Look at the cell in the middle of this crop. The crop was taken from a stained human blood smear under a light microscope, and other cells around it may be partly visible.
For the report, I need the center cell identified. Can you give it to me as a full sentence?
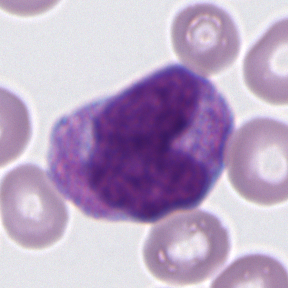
Of the cells in this crop, the central one is an atypical promyelocyte.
